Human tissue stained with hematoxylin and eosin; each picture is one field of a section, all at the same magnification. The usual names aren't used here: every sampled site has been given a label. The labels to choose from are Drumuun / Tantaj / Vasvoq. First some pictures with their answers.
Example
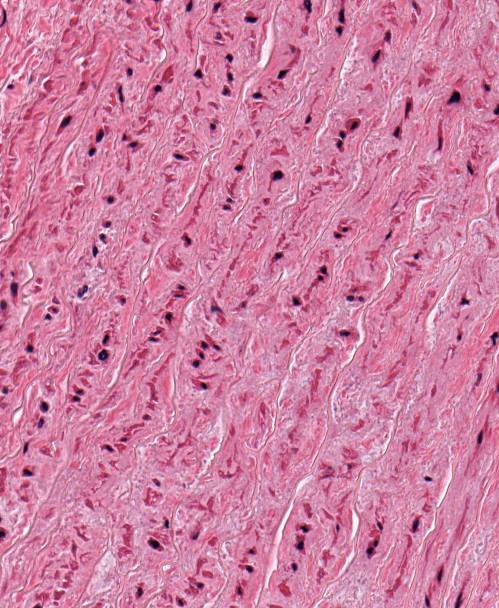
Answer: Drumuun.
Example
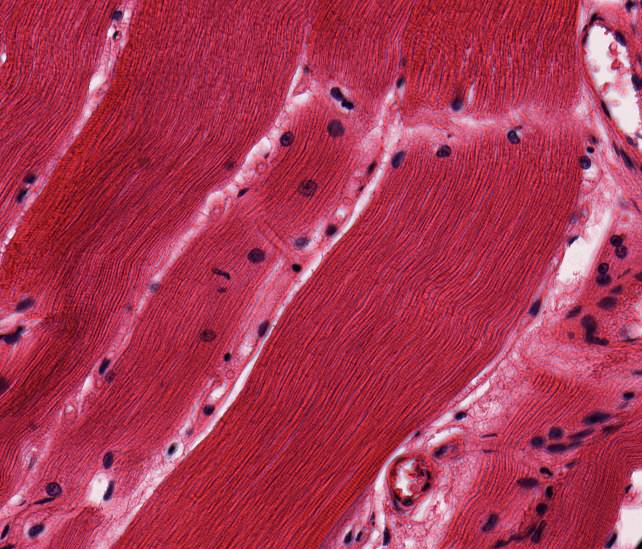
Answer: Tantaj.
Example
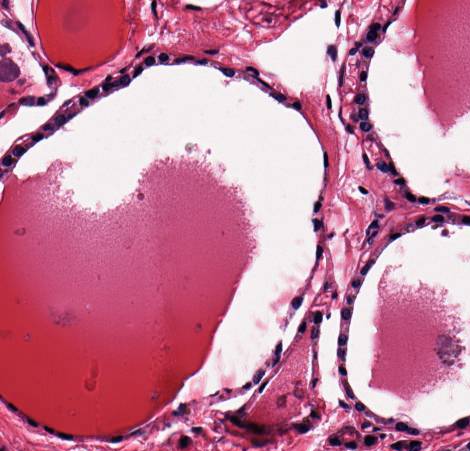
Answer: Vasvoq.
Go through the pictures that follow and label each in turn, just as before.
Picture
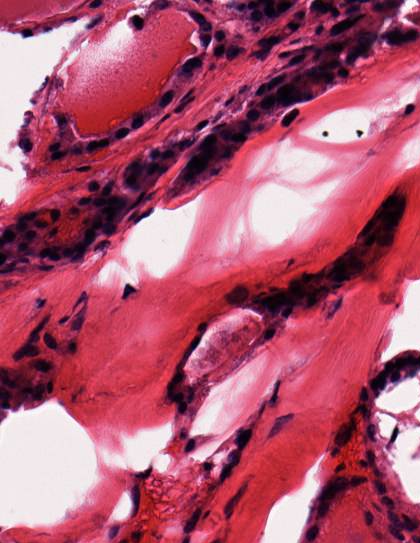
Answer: Vasvoq.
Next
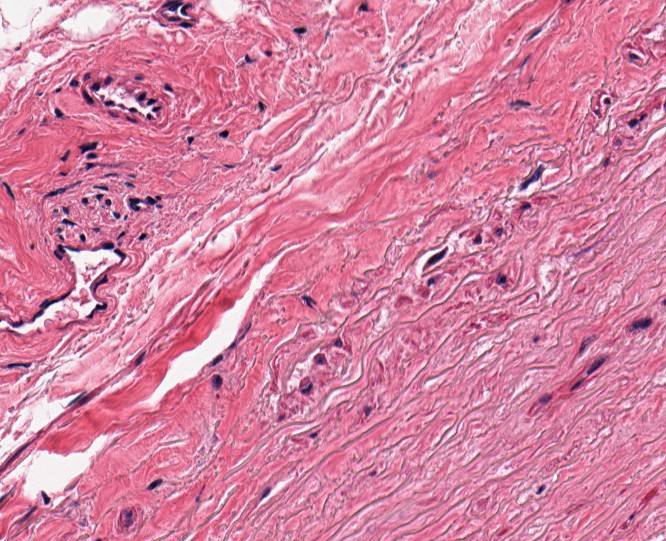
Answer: Drumuun.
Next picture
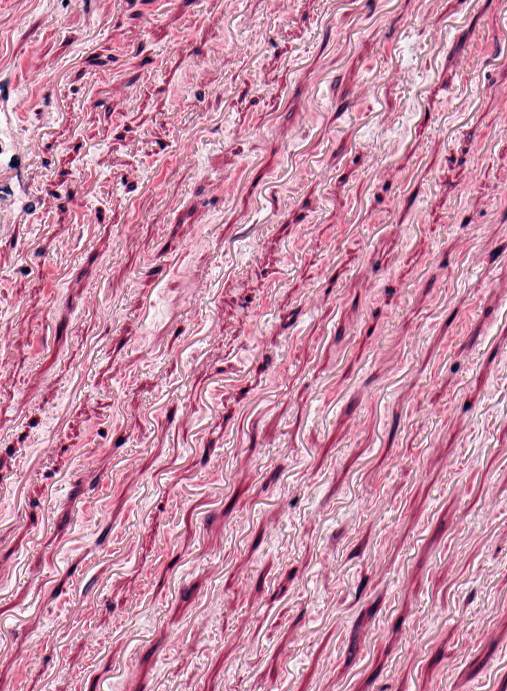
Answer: Drumuun.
